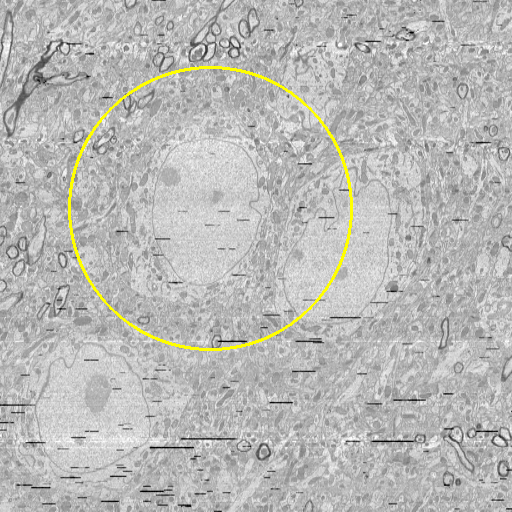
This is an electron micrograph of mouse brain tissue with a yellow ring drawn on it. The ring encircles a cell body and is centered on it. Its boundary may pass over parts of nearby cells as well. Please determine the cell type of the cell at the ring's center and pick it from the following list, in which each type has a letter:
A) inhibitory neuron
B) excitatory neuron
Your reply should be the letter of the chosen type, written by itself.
B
